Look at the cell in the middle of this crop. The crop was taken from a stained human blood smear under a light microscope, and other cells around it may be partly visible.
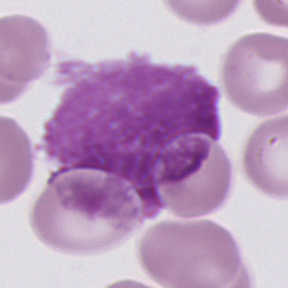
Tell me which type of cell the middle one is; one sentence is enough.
On this slide crop, the central cell is a smudge cell.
